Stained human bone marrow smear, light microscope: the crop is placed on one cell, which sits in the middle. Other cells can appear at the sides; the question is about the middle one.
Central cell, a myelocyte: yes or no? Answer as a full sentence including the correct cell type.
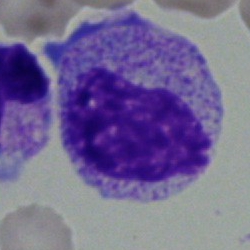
Yes, the cell occupying the middle of the crop is a myelocyte.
